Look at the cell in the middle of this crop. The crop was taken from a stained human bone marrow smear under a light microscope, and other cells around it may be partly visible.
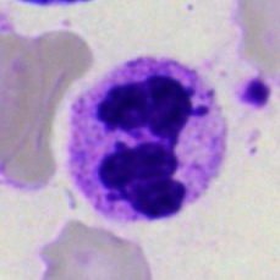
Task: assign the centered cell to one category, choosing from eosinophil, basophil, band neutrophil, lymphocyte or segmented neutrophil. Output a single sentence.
The centrally placed cell is classified as a segmented neutrophil.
